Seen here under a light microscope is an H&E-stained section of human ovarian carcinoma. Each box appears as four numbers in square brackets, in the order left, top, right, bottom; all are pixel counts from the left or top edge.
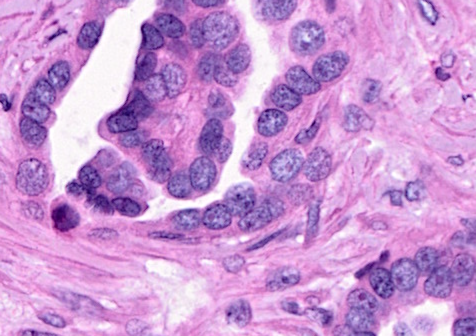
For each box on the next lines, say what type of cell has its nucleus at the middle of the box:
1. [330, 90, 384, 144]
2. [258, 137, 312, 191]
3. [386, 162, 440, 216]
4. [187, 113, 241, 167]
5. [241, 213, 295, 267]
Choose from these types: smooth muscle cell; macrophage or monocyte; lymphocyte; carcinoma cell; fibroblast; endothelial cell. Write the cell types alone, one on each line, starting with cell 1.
fibroblast
carcinoma cell
fibroblast
carcinoma cell
fibroblast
